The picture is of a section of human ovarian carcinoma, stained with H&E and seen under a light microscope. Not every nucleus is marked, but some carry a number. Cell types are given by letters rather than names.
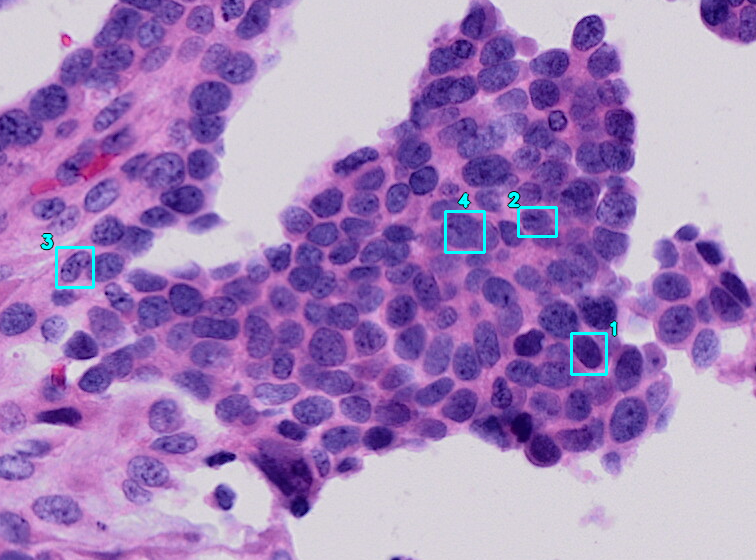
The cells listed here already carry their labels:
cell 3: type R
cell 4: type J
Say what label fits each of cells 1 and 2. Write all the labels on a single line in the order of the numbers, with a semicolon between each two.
type J; type J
